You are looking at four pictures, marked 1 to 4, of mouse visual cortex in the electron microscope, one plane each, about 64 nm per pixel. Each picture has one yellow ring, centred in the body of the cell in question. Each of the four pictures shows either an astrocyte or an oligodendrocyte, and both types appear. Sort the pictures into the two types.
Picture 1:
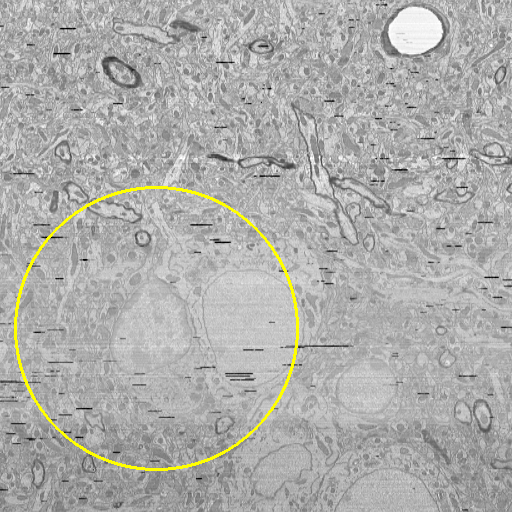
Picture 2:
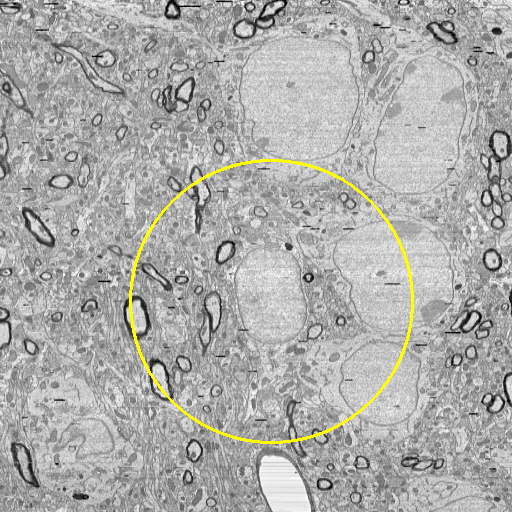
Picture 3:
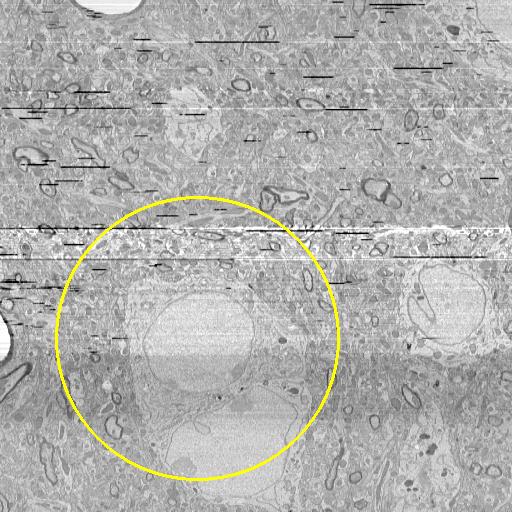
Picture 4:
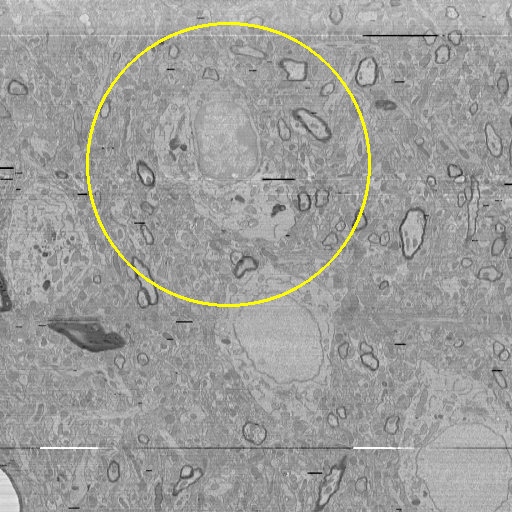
Picture 2 shows an astrocyte, and pictures 1, 3 and 4 show oligodendrocytes.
